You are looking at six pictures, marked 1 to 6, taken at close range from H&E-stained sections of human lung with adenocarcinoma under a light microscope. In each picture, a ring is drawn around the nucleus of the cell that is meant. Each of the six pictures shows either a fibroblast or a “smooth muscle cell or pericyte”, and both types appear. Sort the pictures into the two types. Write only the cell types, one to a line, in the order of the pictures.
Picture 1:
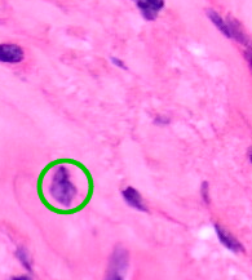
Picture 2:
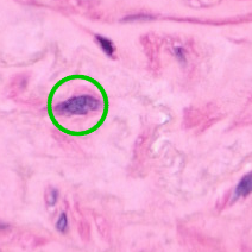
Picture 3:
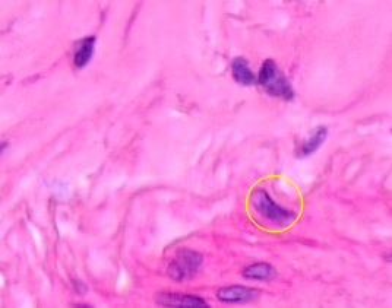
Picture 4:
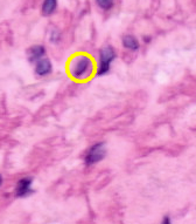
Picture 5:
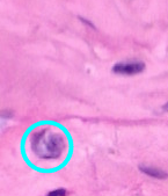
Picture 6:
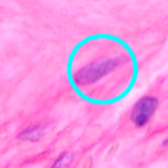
fibroblast
smooth muscle cell or pericyte
smooth muscle cell or pericyte
smooth muscle cell or pericyte
fibroblast
smooth muscle cell or pericyte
